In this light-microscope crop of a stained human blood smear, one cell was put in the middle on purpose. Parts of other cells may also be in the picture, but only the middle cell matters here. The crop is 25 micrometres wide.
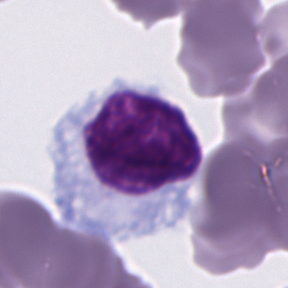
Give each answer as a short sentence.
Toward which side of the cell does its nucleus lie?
Toward the upper right of the cell lies its nucleus.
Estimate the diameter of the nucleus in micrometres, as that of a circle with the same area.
It measures about 9 micrometres across.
